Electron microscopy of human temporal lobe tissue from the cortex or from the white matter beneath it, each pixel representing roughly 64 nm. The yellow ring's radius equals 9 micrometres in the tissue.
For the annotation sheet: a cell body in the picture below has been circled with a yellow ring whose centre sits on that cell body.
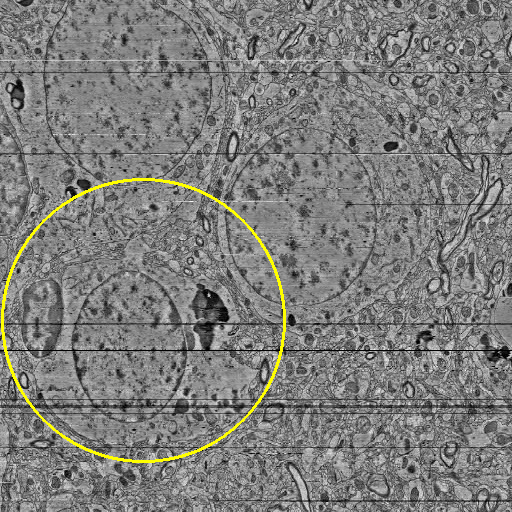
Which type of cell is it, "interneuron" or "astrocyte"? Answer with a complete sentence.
The circled cell is an astrocyte.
